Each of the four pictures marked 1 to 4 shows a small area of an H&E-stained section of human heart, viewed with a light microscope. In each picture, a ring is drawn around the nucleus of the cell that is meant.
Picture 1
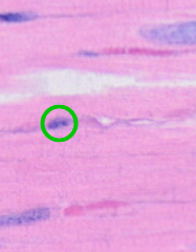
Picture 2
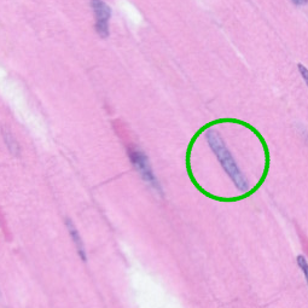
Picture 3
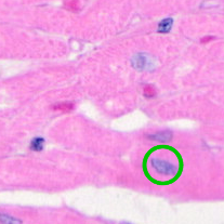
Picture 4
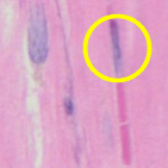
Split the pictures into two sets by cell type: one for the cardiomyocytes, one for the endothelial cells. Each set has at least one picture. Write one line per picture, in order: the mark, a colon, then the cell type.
1: endothelial cell
2: cardiomyocyte
3: cardiomyocyte
4: endothelial cell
